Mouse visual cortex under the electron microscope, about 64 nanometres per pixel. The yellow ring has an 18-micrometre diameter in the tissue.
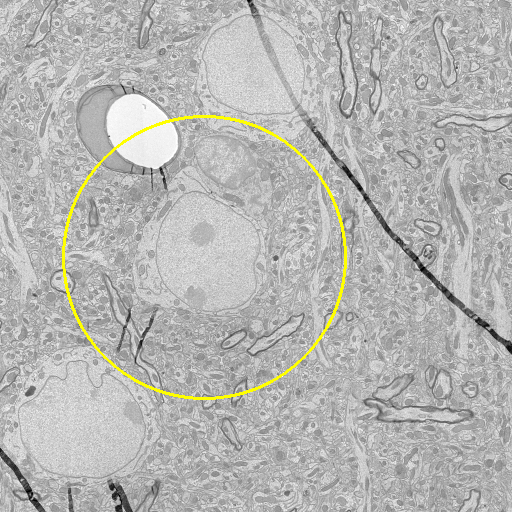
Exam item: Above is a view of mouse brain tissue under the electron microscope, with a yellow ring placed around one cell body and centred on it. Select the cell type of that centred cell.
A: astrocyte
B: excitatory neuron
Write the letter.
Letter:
B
